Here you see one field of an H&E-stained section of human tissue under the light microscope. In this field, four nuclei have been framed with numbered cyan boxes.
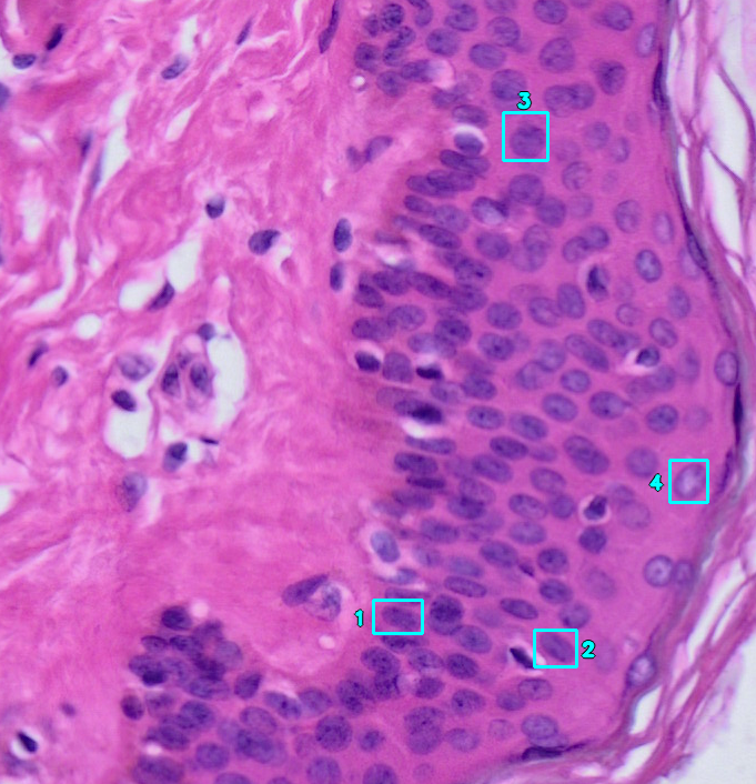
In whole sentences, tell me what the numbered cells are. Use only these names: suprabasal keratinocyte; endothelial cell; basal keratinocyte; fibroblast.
Cell 1 is a basal keratinocyte. Cells 2, 3 and 4 are suprabasal keratinocytes.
